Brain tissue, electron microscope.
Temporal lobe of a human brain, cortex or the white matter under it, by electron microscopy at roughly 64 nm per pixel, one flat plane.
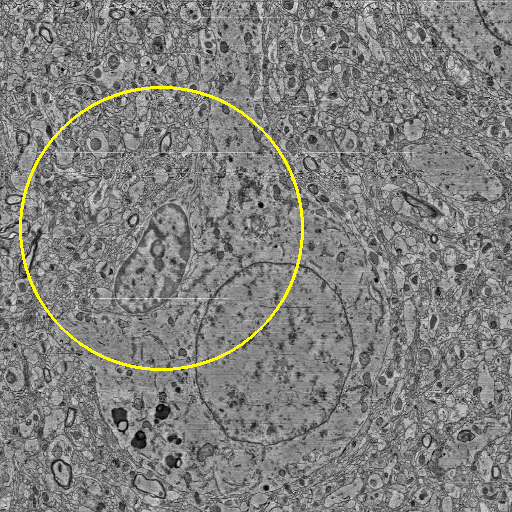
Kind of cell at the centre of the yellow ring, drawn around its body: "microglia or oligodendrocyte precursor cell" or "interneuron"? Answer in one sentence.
The ring's centre falls on a microglial cell or oligodendrocyte precursor cell.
